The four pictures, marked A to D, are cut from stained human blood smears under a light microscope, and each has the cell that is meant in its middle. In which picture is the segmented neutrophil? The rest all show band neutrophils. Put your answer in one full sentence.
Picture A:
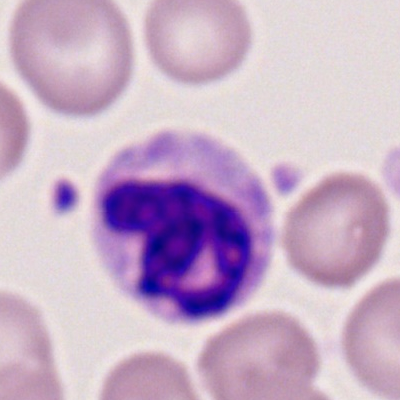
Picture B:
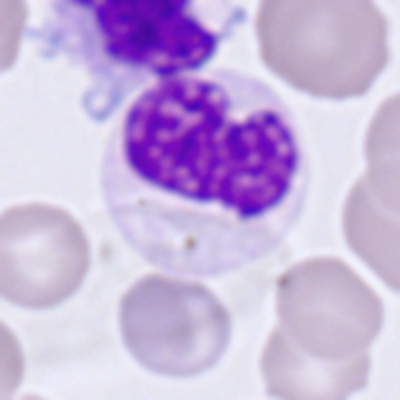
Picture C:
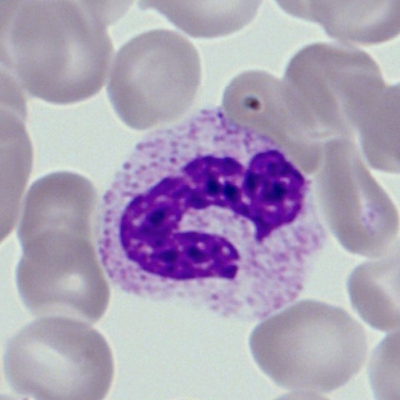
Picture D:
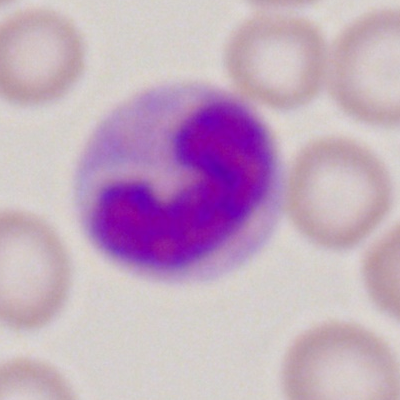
The cell in picture A is the segmented neutrophil.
